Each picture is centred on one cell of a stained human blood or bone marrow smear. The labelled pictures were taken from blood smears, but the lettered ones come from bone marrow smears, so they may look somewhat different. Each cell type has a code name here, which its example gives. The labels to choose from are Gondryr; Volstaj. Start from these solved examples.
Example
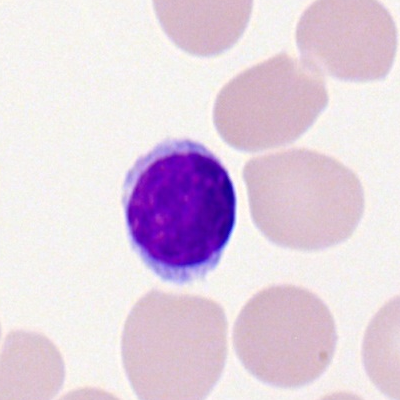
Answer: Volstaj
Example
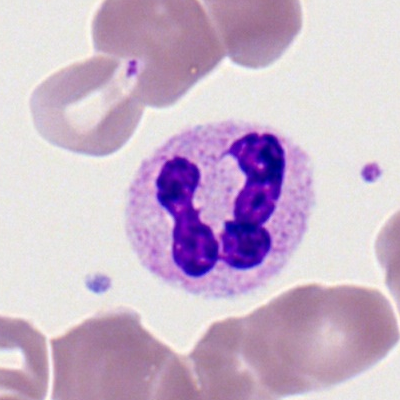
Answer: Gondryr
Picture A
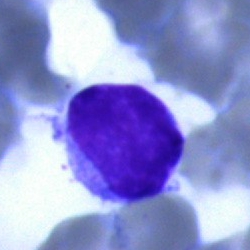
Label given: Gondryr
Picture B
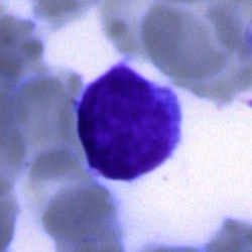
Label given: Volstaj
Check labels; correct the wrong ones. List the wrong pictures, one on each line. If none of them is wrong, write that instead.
A should be Volstaj, not Gondryr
